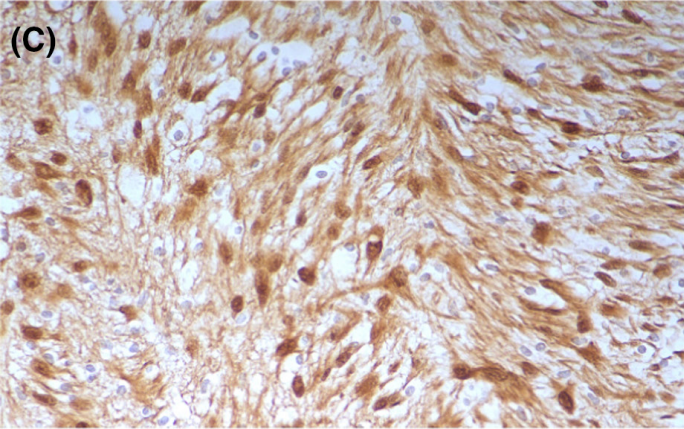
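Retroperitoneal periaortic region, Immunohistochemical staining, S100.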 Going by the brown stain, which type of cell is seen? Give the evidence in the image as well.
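Brown stain fills the nuclei and cytoplasm of elongated cells. The stained cells have long, tapering fibrillary processes. The stained cells run in streaming bundles. The answer: spindle cells.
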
